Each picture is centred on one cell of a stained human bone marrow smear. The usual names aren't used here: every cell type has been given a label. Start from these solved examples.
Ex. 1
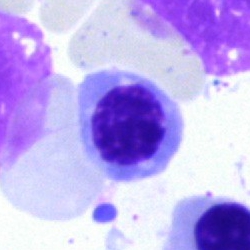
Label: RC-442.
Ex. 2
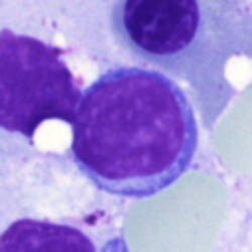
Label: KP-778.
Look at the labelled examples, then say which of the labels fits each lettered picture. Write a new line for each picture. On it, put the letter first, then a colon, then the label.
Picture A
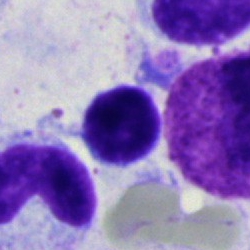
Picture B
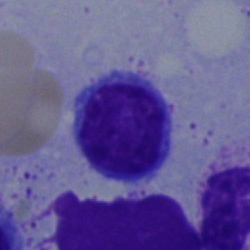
A: KP-778.
B: KP-778.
